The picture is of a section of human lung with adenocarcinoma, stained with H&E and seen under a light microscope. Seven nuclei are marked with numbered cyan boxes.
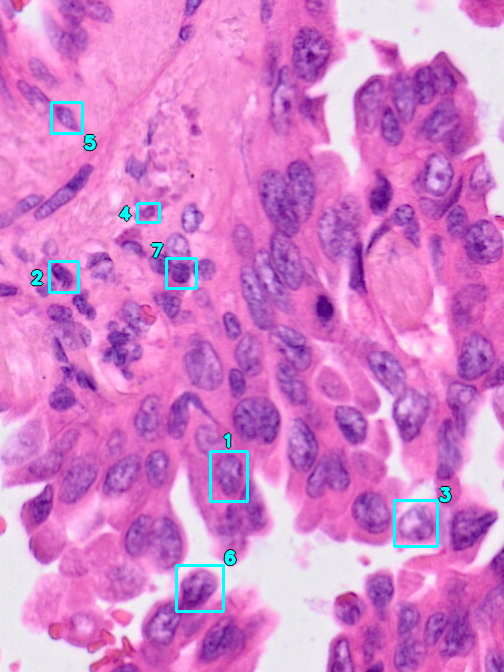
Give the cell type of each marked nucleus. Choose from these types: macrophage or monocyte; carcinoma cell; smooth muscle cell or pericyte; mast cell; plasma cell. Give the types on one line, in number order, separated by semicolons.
carcinoma cell; plasma cell; carcinoma cell; plasma cell; smooth muscle cell or pericyte; carcinoma cell; plasma cell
